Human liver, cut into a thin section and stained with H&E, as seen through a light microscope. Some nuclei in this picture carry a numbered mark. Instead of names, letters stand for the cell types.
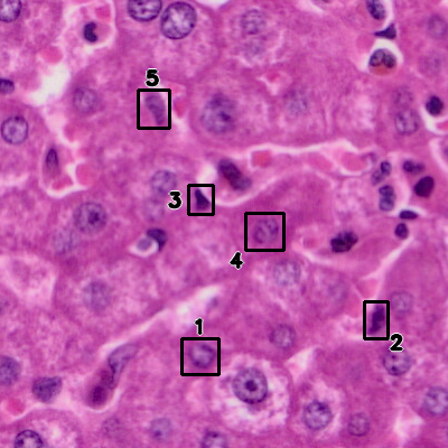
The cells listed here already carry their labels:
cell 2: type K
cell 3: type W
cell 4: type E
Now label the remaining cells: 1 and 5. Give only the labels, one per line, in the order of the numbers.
type E
type K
